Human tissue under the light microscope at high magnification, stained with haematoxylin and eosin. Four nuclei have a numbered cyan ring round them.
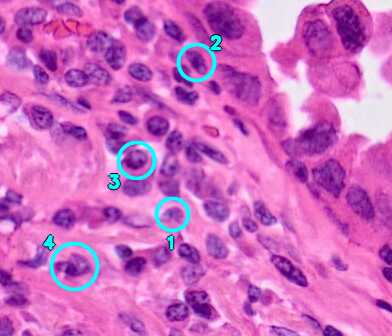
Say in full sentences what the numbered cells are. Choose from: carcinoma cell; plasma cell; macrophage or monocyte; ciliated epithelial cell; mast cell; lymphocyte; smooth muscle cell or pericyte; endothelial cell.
Cell 1 is a lymphocyte, cell 2 is a lymphocyte, cell 3 is a plasma cell and cell 4 is a plasma cell.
